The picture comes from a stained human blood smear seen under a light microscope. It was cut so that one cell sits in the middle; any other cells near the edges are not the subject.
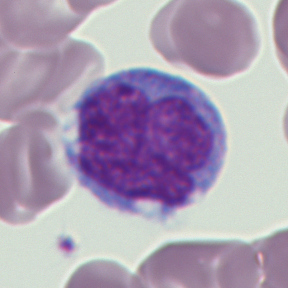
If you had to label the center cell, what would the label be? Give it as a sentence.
Present in the middle of the crop is a monocyte.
